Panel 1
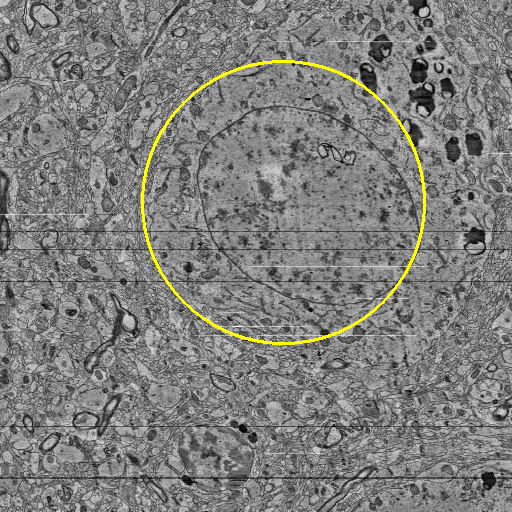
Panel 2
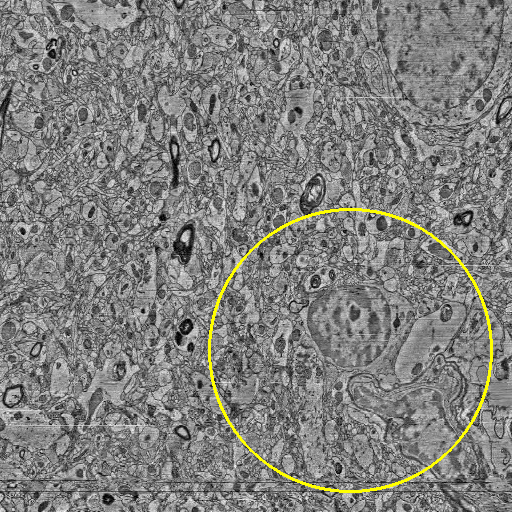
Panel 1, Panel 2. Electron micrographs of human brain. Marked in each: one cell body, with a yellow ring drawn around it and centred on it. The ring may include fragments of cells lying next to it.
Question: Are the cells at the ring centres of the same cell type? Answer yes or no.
no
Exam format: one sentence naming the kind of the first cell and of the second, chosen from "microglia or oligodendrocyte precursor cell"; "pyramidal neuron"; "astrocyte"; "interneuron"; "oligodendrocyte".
The first picture's cell is a pyramidal neuron, and the second picture's cell is an oligodendrocyte.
